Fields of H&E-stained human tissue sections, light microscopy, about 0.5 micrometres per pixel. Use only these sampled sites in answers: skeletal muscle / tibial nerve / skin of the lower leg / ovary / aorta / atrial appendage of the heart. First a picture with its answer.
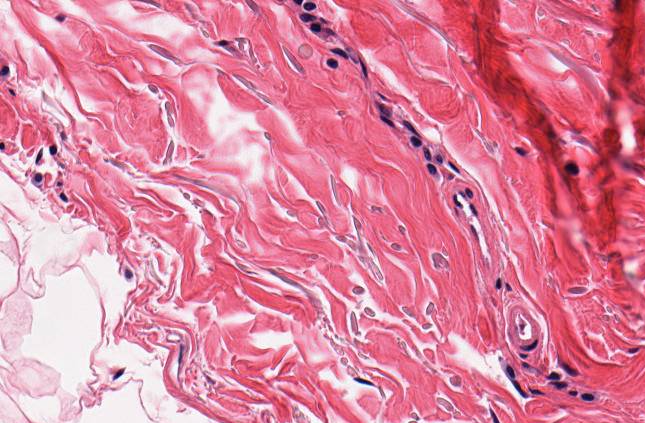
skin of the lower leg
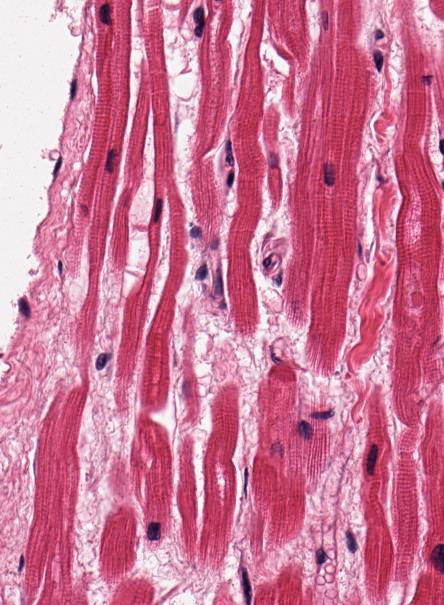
atrial appendage of the heart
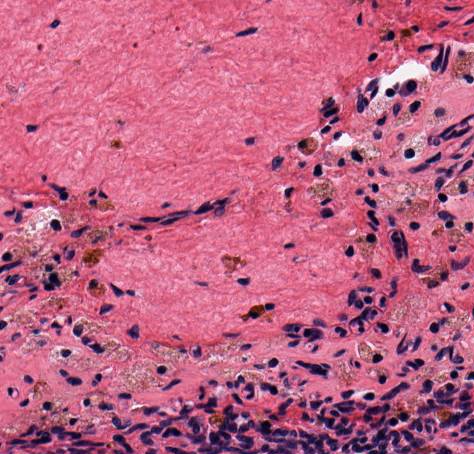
ovary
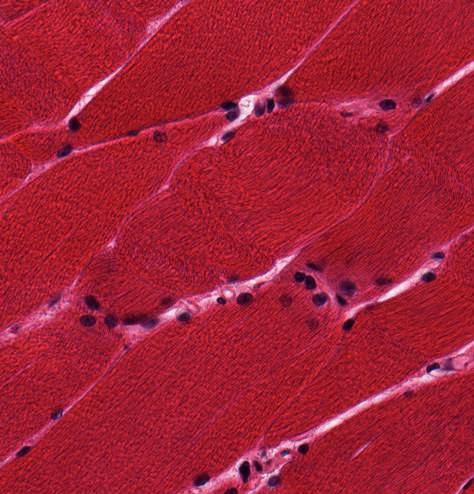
skeletal muscle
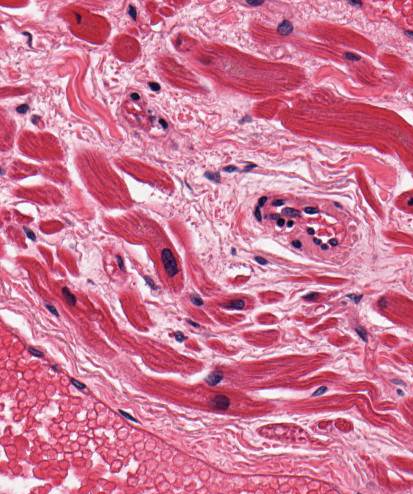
atrial appendage of the heart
